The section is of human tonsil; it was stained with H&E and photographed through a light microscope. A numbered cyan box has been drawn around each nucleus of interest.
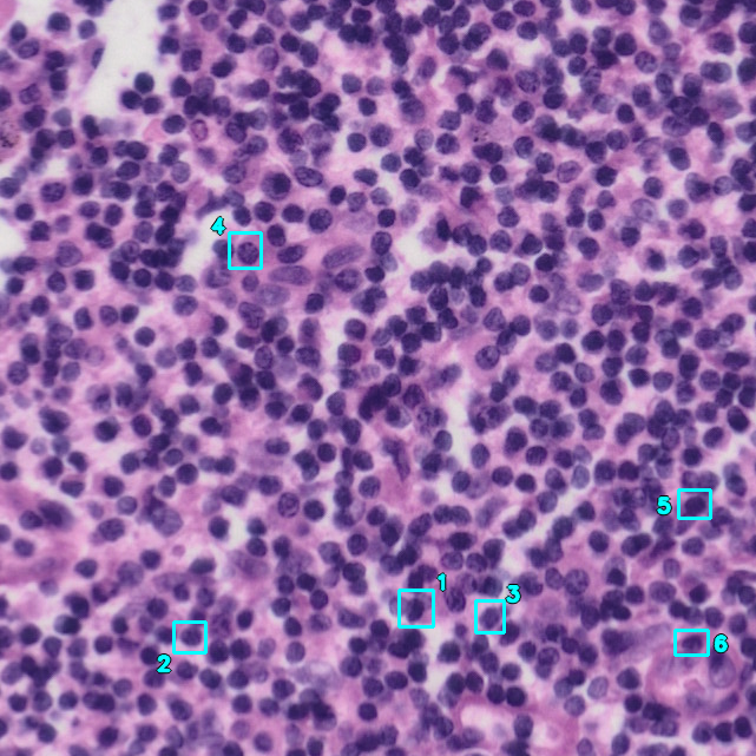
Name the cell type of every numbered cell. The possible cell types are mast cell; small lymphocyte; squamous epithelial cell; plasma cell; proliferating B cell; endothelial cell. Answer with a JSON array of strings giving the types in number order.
["small lymphocyte", "small lymphocyte", "small lymphocyte", "plasma cell", "small lymphocyte", "endothelial cell"]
